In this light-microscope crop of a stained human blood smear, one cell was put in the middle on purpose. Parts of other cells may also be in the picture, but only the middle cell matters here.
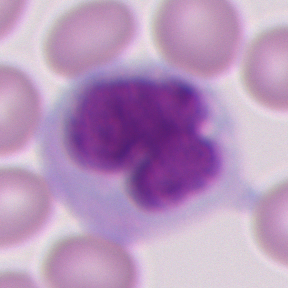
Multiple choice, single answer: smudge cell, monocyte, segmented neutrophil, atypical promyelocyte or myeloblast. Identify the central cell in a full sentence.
The target cell in the middle of the crop is a monocyte.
